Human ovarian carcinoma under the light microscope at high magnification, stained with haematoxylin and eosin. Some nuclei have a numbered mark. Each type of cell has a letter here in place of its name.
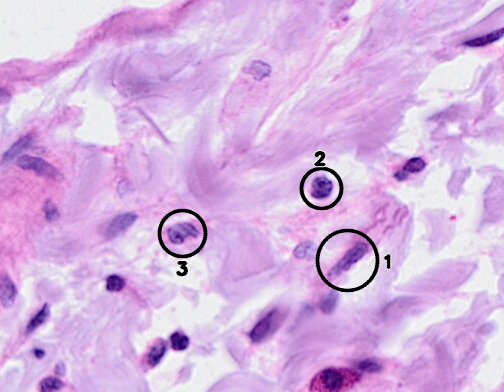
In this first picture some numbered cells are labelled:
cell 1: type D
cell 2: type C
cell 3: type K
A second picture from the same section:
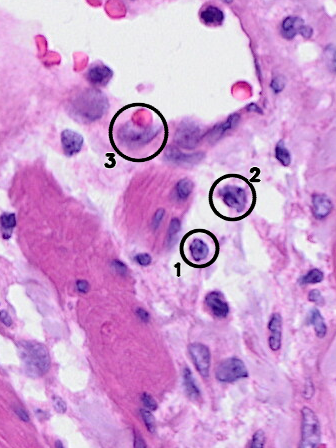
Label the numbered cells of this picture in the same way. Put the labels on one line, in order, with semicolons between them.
type C; type K; type D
